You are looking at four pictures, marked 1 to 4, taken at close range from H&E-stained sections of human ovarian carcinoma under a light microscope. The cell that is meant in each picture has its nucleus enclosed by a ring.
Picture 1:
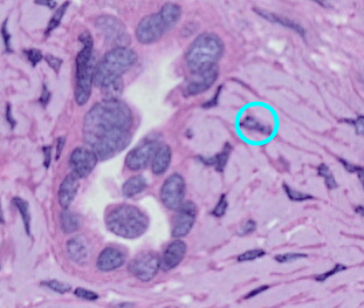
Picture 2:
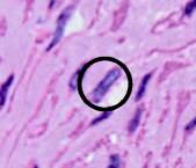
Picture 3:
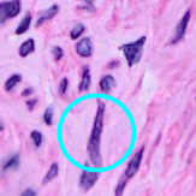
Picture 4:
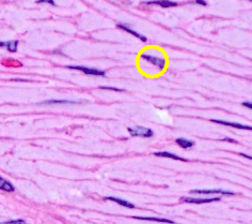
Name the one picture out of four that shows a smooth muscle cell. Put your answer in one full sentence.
It is picture 3 that shows the smooth muscle cell.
